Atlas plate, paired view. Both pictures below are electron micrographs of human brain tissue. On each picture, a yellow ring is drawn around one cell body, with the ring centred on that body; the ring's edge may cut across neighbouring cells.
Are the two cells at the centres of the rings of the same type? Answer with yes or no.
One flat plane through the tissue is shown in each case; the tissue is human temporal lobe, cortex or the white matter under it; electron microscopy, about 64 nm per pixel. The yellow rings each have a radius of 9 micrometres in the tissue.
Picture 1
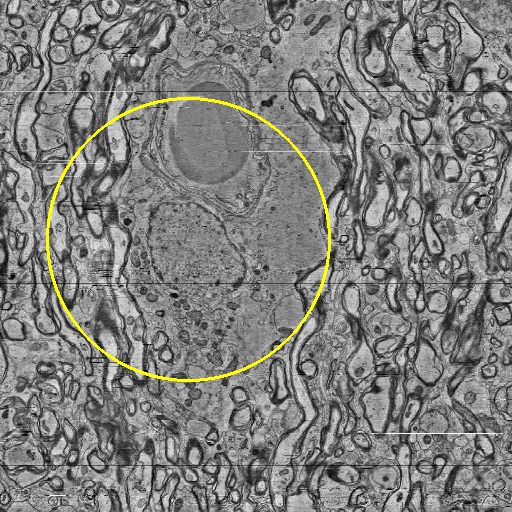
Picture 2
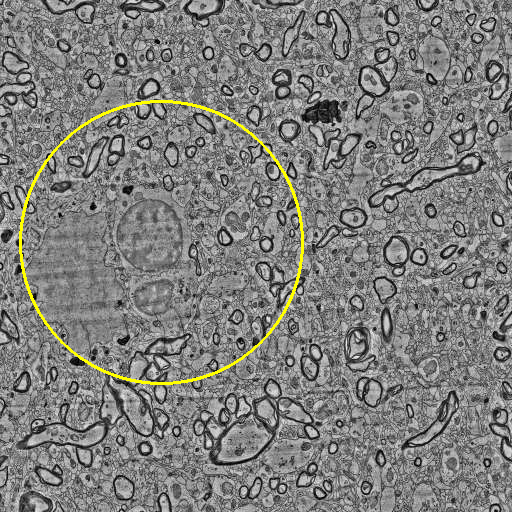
no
